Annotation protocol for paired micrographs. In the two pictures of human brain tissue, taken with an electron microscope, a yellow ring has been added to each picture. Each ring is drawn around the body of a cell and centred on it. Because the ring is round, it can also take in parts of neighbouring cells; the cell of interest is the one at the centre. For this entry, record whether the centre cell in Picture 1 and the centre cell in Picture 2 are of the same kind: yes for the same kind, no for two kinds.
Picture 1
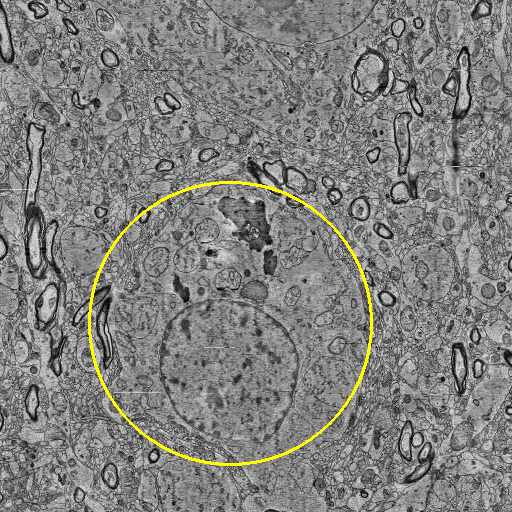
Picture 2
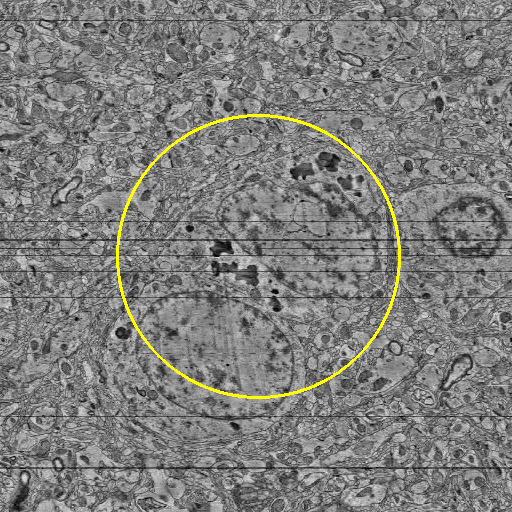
no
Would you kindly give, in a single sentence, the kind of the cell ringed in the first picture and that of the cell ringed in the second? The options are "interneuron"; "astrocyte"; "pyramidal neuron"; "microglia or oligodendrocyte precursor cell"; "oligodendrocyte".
The second cell is an interneuron, and the first cell is an astrocyte.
